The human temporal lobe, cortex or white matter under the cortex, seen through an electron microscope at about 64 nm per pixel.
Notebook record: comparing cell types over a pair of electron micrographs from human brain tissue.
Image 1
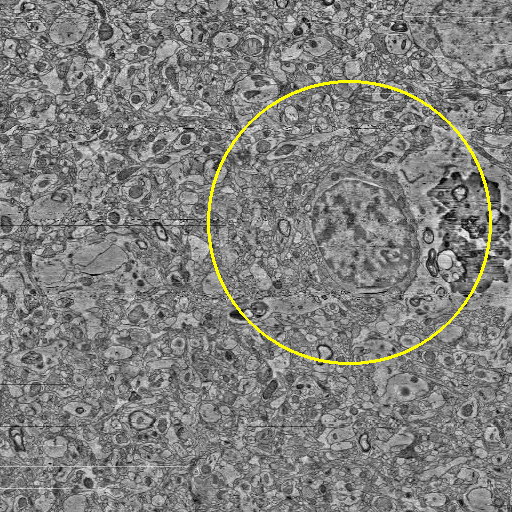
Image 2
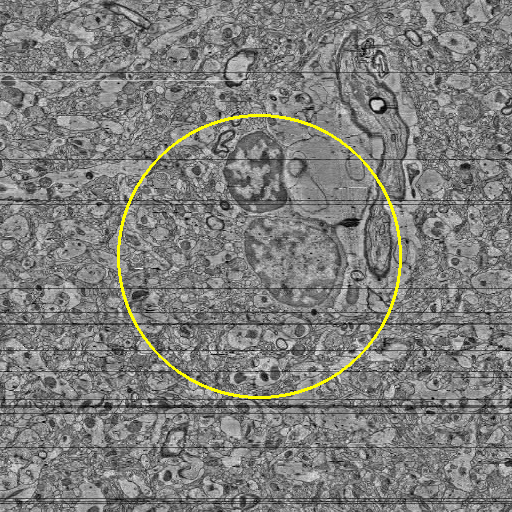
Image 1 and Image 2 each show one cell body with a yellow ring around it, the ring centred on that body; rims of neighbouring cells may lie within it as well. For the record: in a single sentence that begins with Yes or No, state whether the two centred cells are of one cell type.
Yes, one cell type is shared by the centred cells of Image 1 and Image 2.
